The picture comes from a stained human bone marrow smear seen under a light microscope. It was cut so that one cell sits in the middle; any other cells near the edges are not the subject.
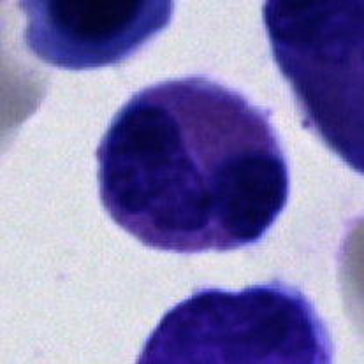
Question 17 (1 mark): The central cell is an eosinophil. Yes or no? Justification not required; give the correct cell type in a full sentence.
Yes, the cell in the middle of this smear crop is an eosinophil.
